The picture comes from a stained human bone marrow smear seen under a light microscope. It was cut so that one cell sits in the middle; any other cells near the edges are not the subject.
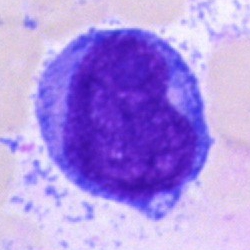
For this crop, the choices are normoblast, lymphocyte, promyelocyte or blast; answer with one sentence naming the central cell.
By type, the central cell of the crop is a blast.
